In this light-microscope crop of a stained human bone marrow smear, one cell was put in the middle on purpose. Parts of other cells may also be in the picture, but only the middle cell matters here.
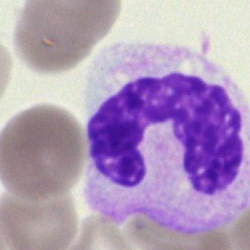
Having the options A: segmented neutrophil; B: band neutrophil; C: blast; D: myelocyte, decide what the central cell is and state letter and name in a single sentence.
Option B holds up: the cell in the middle is a band neutrophil.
